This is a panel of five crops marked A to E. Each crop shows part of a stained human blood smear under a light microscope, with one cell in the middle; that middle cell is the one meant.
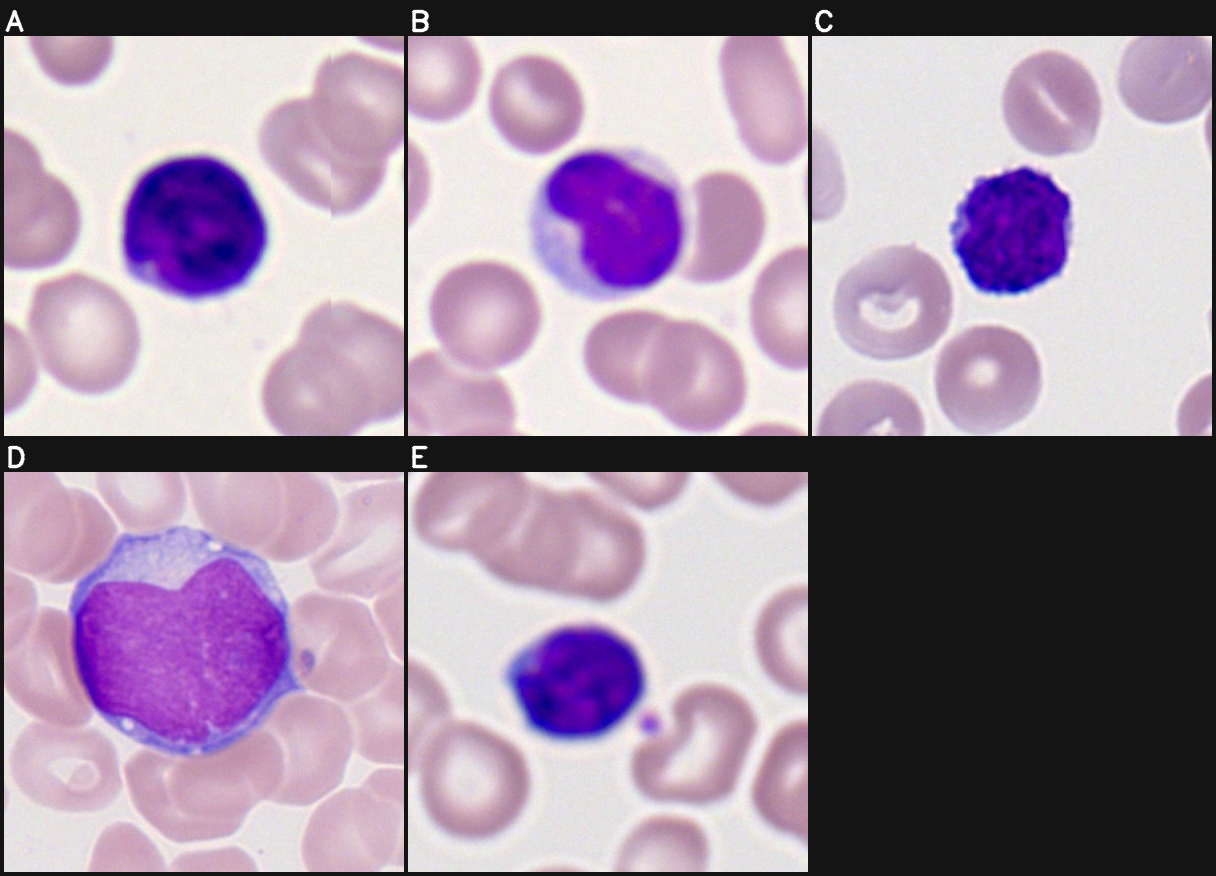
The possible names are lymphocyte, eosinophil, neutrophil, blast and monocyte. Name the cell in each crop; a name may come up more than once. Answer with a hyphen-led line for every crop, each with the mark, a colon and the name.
- A: lymphocyte
- B: lymphocyte
- C: lymphocyte
- D: blast
- E: lymphocyte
